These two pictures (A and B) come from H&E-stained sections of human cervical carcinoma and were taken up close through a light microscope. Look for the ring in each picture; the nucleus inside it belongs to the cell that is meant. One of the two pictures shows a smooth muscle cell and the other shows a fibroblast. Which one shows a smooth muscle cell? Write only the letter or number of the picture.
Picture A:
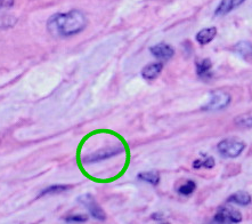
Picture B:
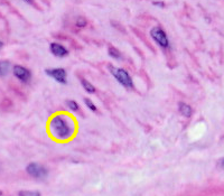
B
